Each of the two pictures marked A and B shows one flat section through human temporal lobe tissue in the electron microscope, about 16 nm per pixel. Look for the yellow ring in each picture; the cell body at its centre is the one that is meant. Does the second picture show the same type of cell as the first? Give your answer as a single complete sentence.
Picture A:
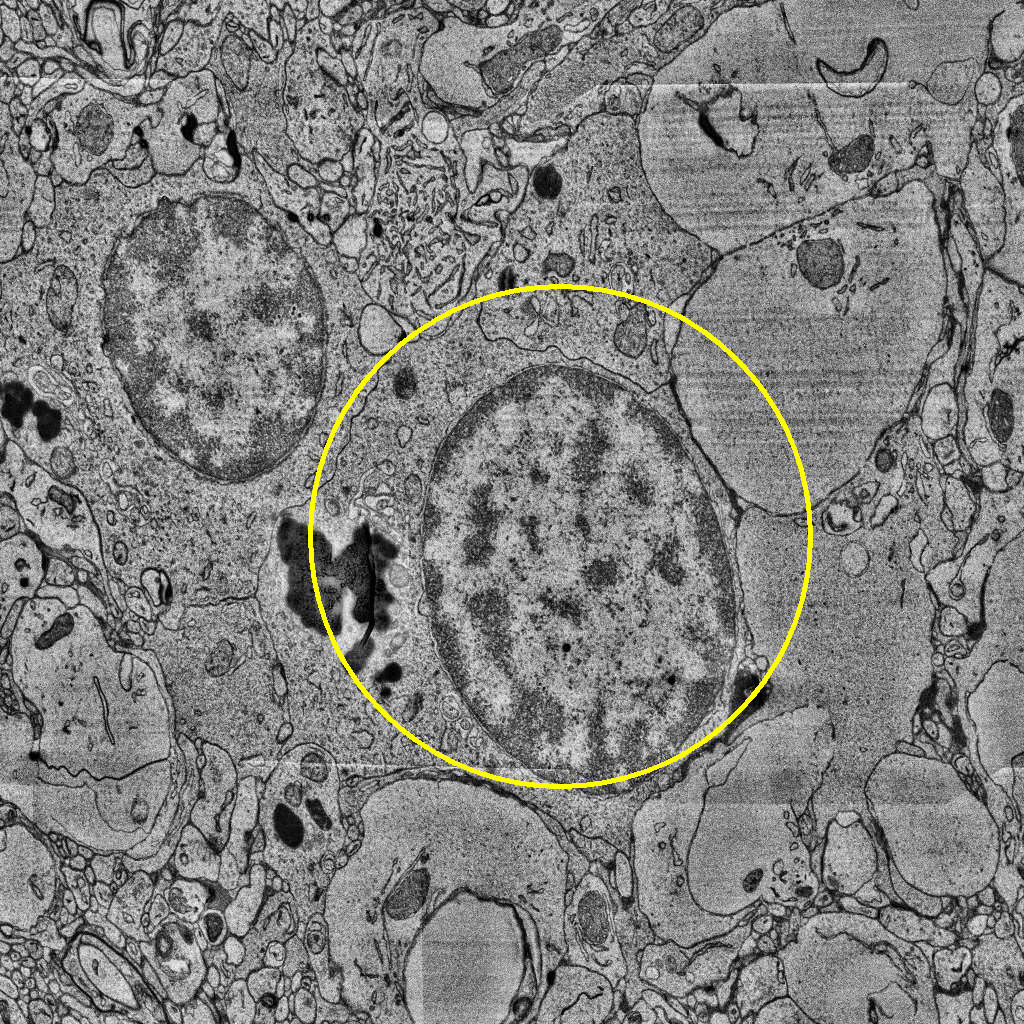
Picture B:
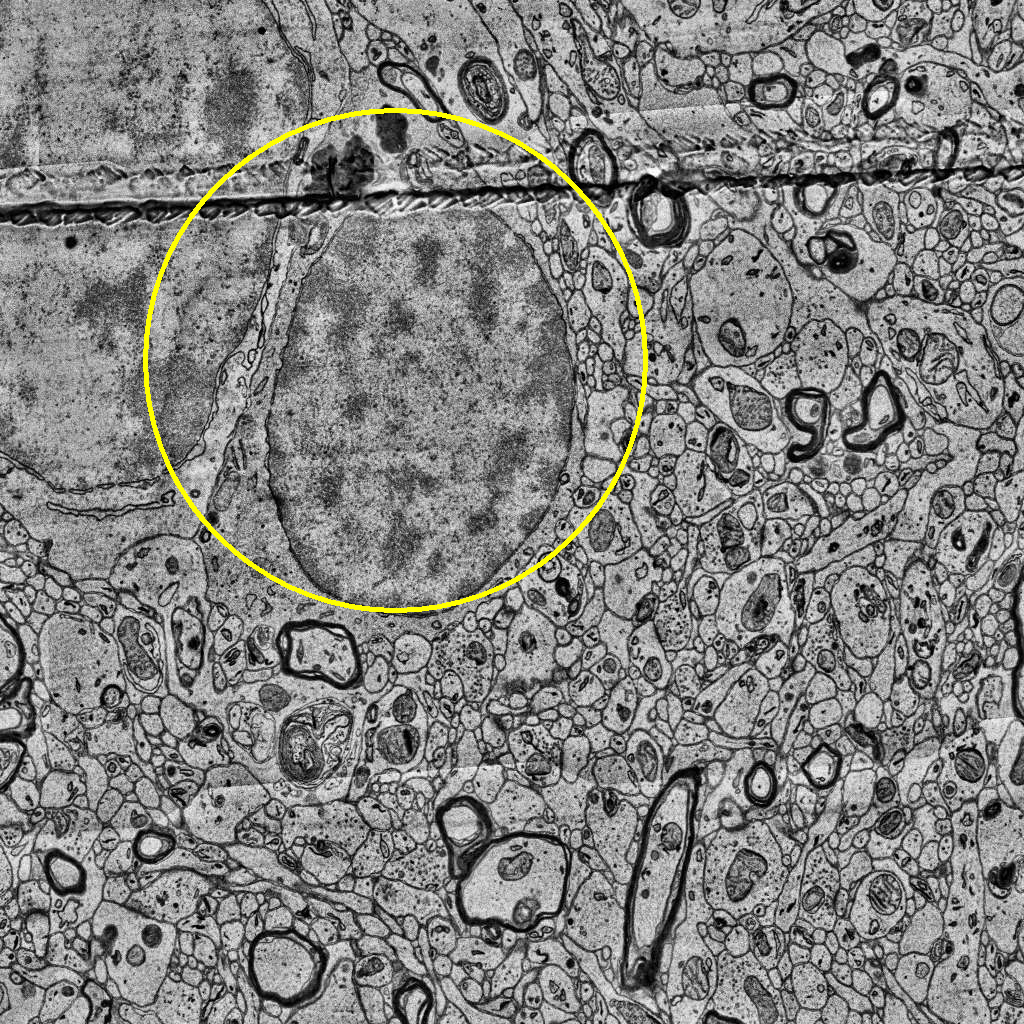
Yes, they are the same type: both are oligodendrocytes.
